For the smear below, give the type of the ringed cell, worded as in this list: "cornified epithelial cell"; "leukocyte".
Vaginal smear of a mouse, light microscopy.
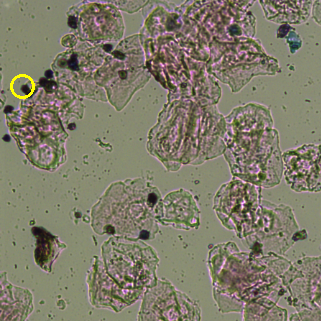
leukocyte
